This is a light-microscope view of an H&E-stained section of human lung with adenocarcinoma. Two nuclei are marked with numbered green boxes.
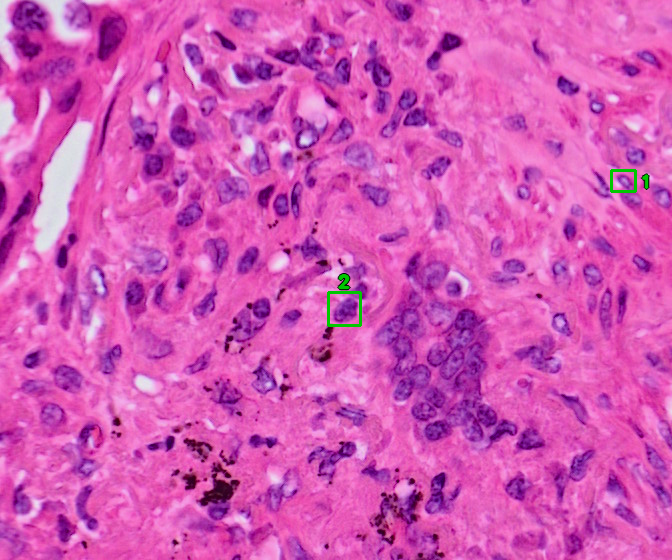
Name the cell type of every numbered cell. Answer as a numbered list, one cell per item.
1. smooth muscle cell or pericyte
2. lymphocyte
